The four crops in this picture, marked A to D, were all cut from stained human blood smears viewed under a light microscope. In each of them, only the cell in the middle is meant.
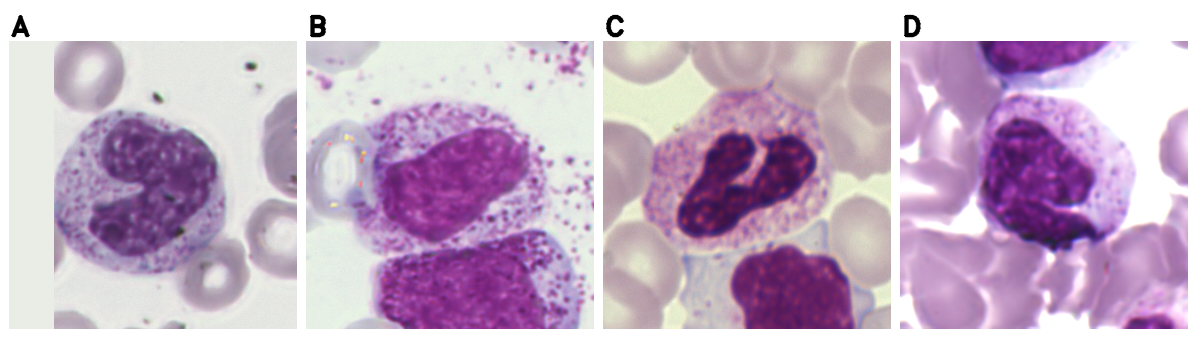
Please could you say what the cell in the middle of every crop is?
A: band neutrophil
B: band neutrophil
C: segmented neutrophil
D: band neutrophil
